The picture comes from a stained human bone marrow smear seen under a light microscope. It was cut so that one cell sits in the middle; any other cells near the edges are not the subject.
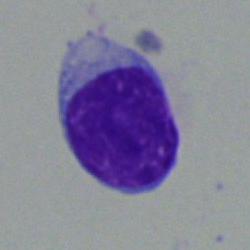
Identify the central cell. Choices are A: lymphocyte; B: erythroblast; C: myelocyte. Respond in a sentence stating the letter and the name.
The central cell in this crop is a lymphocyte, corresponding to option A, the correct option.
